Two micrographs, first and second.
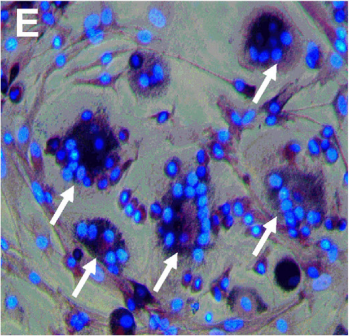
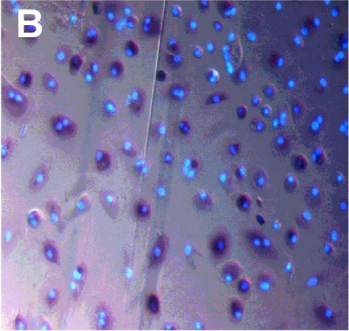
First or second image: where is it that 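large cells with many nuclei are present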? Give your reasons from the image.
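The first image. First image: several large purple cells each hold clusters of many blue nuclei.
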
